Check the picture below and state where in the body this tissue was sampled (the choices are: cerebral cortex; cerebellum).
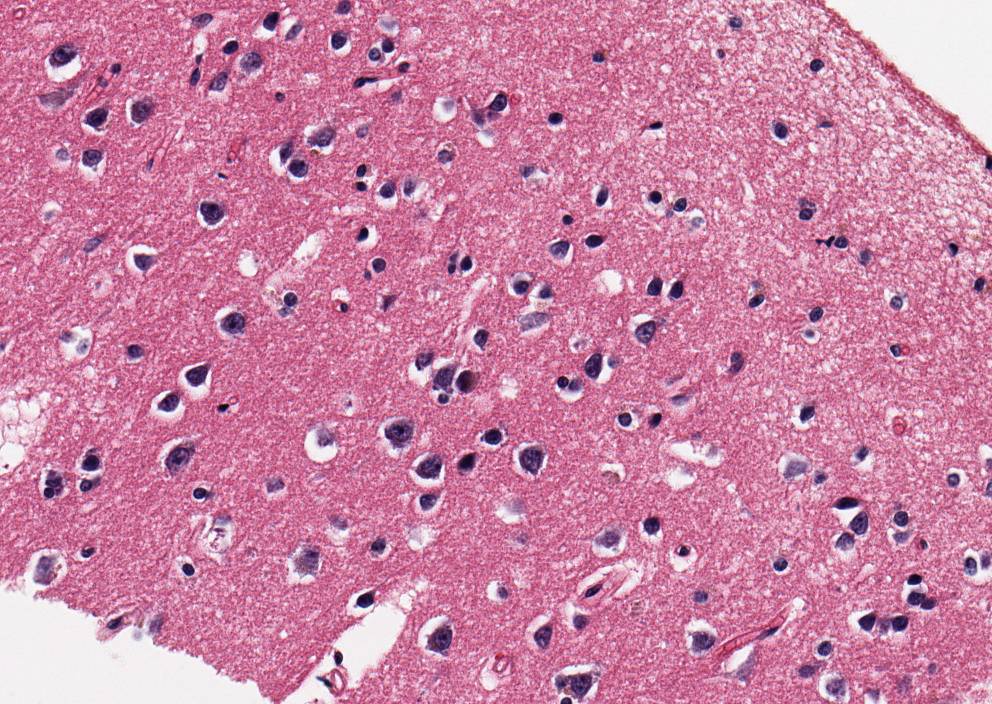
cerebral cortex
